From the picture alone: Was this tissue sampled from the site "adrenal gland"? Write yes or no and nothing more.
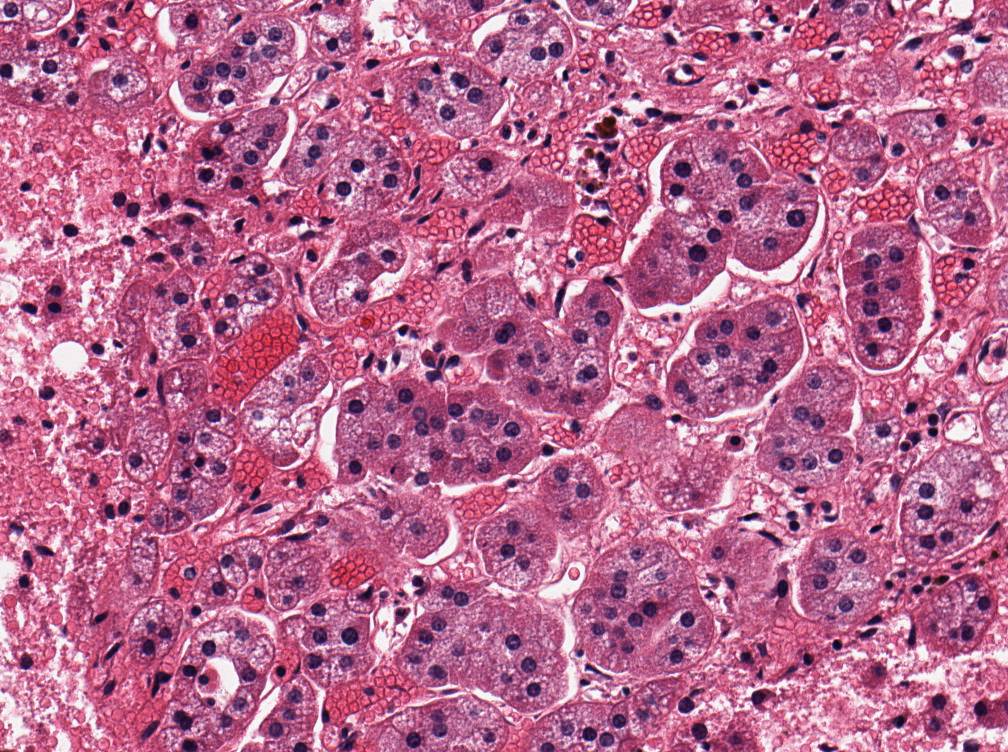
yes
